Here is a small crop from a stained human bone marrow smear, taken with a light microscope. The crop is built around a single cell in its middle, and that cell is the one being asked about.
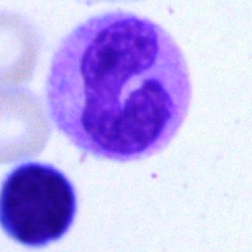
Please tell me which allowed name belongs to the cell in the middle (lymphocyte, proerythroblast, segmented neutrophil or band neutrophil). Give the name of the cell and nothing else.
band neutrophil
